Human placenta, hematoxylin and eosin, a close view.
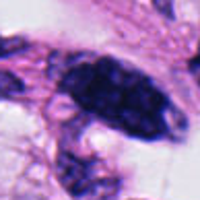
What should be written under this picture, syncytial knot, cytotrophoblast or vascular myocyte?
syncytial knot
